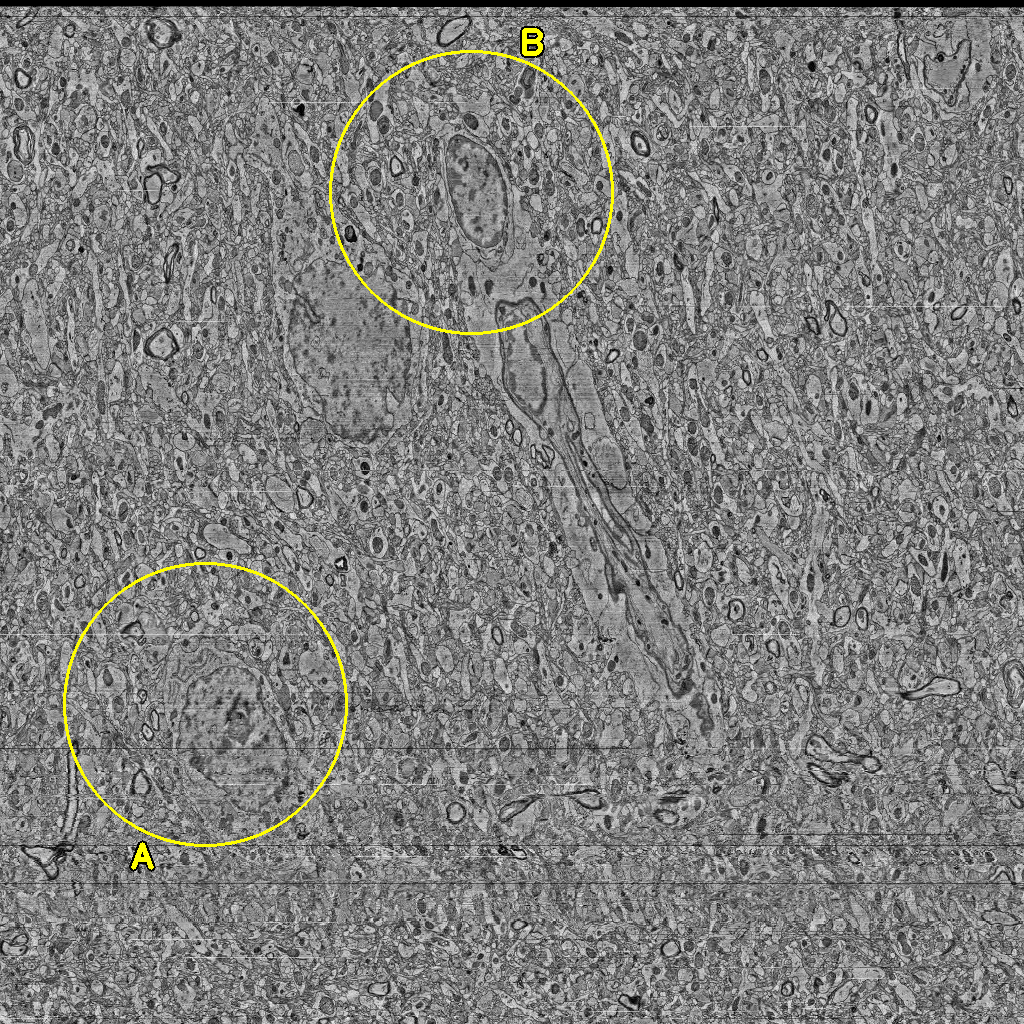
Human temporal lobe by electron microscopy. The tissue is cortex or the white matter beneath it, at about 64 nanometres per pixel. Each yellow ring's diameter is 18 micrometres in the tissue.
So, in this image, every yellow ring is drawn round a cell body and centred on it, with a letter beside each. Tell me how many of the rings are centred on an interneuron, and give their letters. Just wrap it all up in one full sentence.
Centred on an interneuron is a single ring, and the letter next to it is A.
